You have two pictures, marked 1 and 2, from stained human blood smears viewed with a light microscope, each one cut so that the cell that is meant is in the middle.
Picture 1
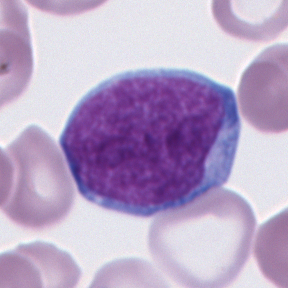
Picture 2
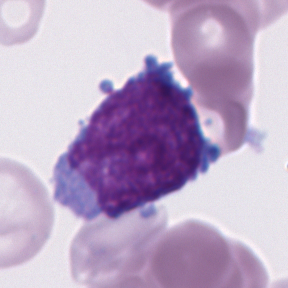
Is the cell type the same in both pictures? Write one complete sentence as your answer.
Yes, both cells are myeloblasts.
